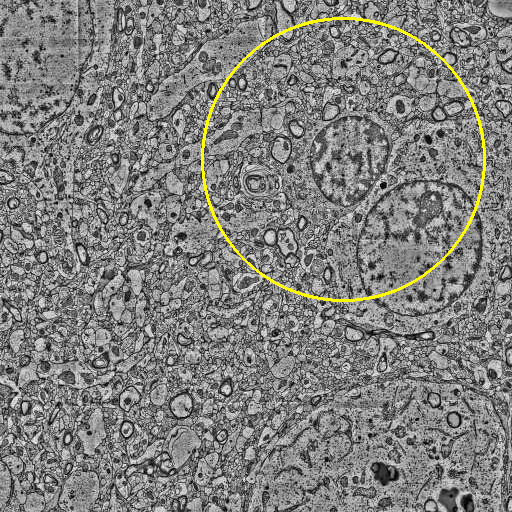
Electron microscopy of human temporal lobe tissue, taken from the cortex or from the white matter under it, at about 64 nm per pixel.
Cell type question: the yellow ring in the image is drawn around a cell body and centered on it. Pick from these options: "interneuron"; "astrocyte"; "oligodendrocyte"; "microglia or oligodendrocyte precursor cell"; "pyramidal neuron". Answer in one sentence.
The ringed cell at the center is an oligodendrocyte.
